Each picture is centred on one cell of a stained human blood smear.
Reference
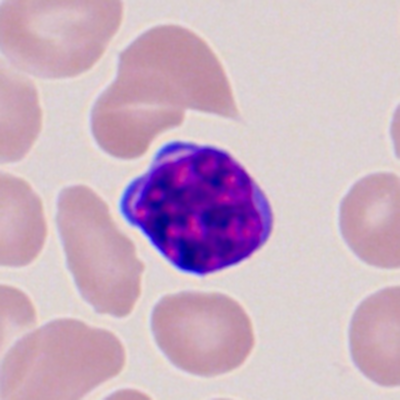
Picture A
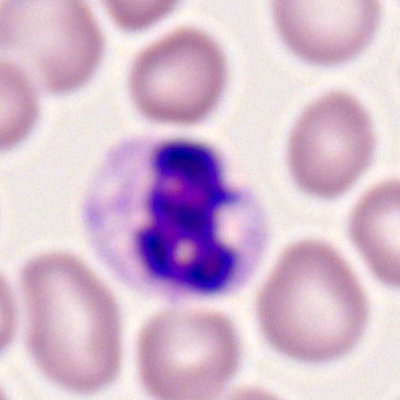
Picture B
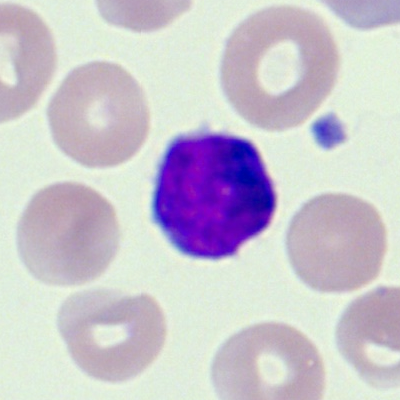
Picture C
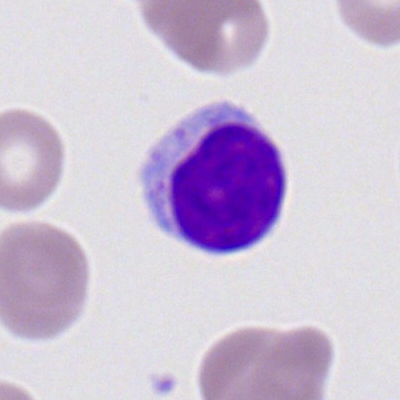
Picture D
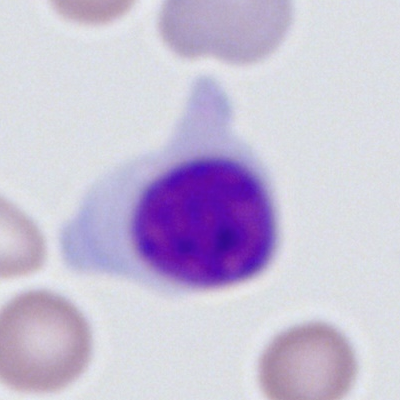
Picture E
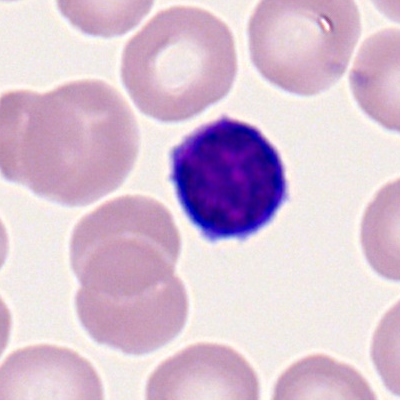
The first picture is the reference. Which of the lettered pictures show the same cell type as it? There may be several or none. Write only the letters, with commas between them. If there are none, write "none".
B, C, D, E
